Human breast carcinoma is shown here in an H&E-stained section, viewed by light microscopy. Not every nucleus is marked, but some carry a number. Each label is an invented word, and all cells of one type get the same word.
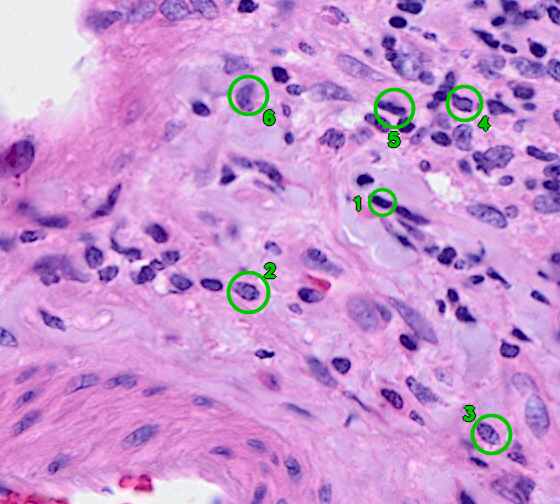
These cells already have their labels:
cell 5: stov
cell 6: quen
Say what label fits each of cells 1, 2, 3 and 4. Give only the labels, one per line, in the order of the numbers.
stov
quen
quen
stov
